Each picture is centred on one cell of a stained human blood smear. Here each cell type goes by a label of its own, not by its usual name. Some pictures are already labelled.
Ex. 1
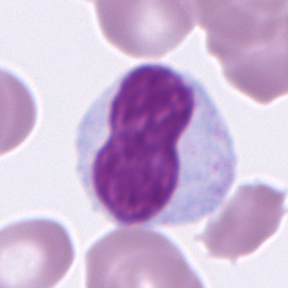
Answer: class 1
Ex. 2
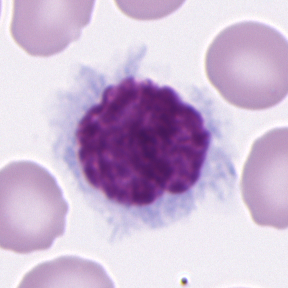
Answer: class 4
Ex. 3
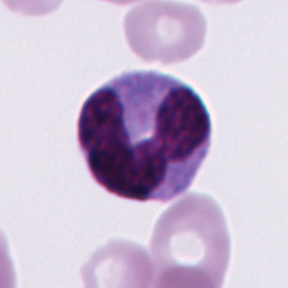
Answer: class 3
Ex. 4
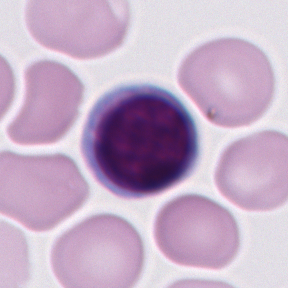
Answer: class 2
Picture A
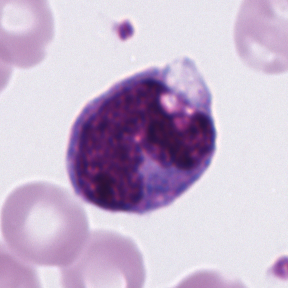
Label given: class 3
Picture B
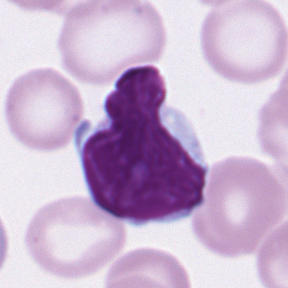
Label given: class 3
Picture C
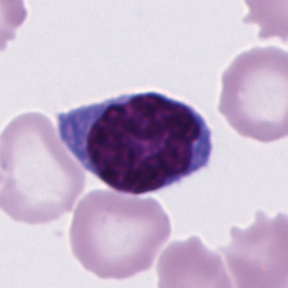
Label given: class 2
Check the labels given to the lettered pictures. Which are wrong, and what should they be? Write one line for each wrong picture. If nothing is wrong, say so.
B: change class 3 to class 2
